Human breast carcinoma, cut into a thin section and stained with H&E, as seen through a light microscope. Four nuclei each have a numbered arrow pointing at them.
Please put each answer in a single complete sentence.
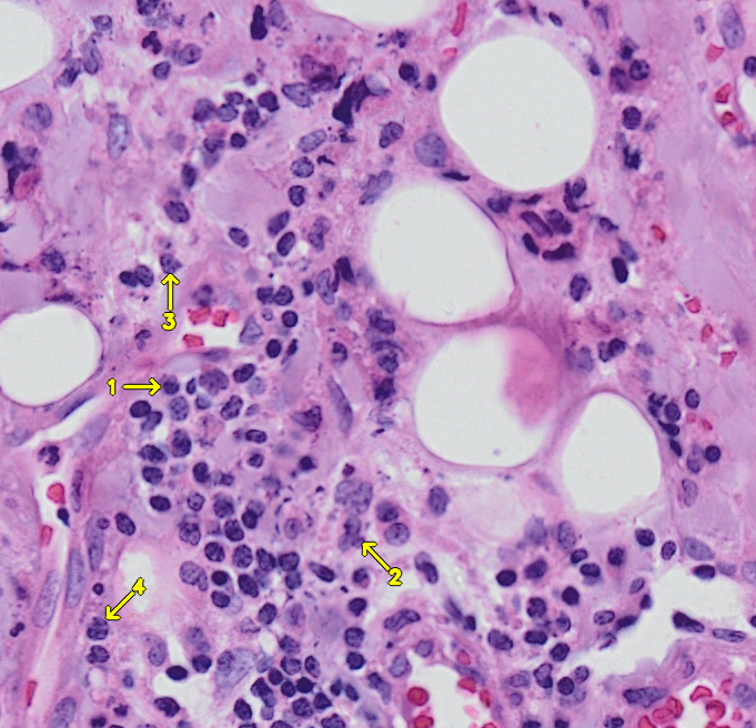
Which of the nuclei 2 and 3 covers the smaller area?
Nucleus 3 is the smaller one; nucleus 2 covers about 2 times its area.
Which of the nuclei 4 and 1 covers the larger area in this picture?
At about 1.5 times the area of nucleus 1, nucleus 4 is the larger of the two.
